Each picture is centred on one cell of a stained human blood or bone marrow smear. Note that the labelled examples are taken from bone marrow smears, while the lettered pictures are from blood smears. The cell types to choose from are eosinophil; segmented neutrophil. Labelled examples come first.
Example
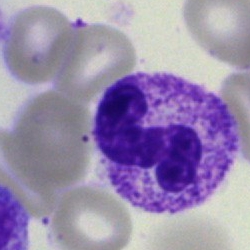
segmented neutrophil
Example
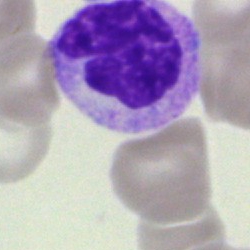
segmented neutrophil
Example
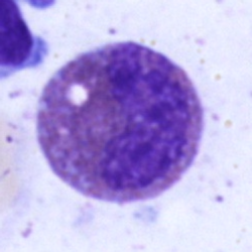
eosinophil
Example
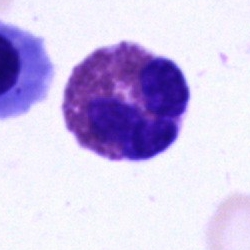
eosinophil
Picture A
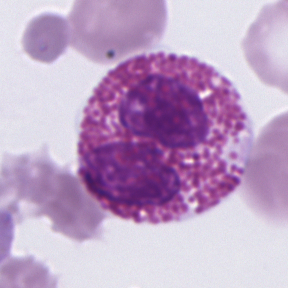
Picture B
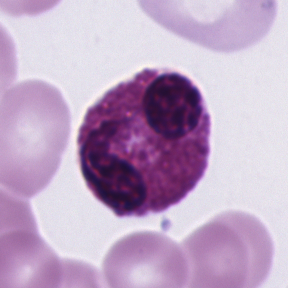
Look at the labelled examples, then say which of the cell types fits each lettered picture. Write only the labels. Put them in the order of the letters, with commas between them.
eosinophil, eosinophil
